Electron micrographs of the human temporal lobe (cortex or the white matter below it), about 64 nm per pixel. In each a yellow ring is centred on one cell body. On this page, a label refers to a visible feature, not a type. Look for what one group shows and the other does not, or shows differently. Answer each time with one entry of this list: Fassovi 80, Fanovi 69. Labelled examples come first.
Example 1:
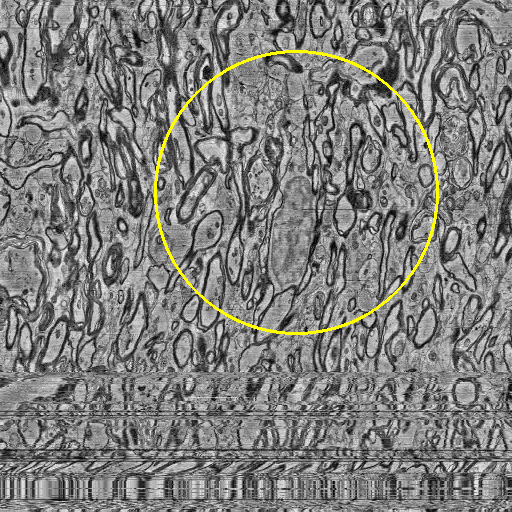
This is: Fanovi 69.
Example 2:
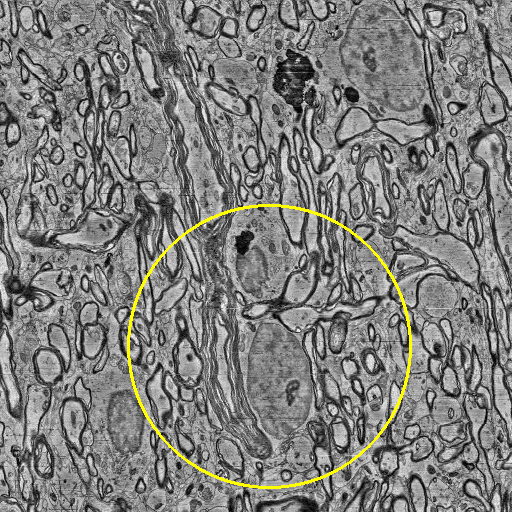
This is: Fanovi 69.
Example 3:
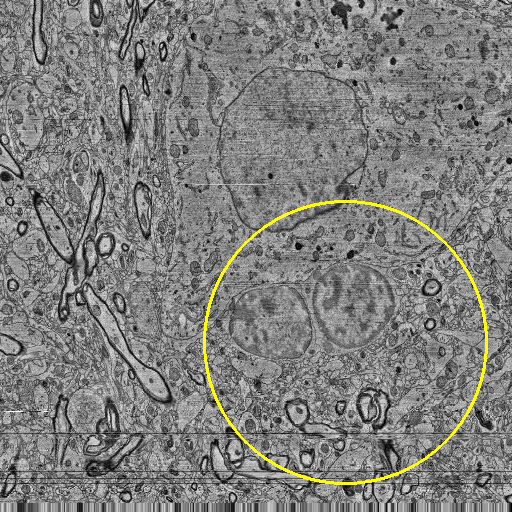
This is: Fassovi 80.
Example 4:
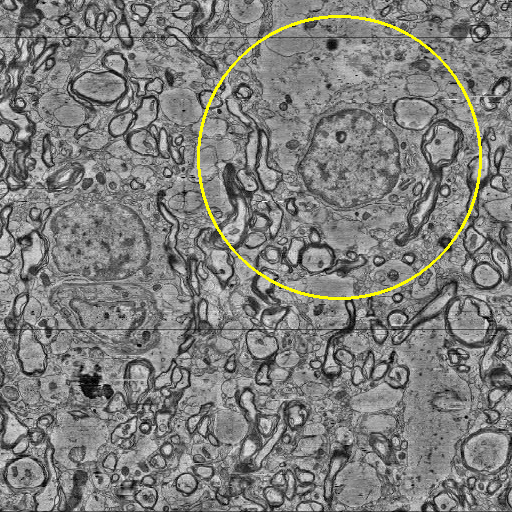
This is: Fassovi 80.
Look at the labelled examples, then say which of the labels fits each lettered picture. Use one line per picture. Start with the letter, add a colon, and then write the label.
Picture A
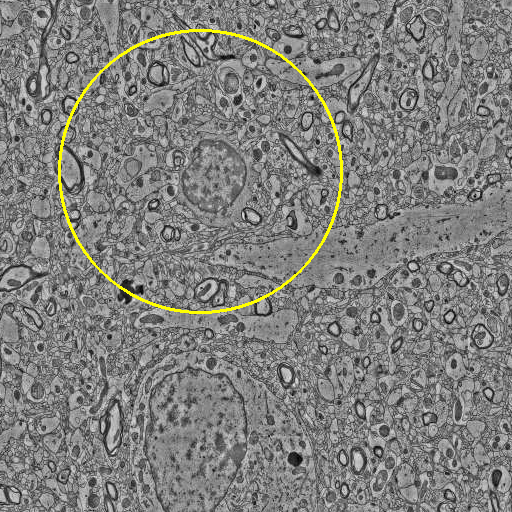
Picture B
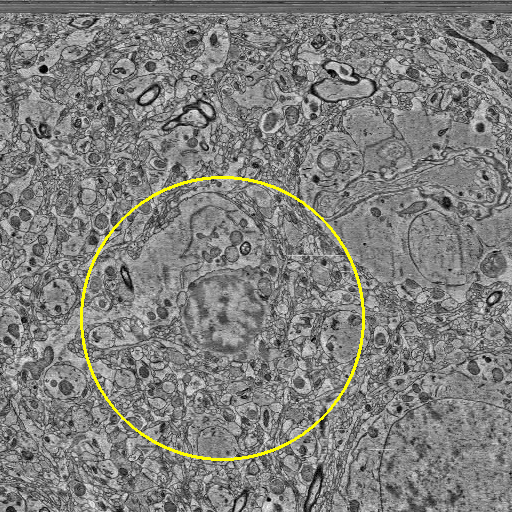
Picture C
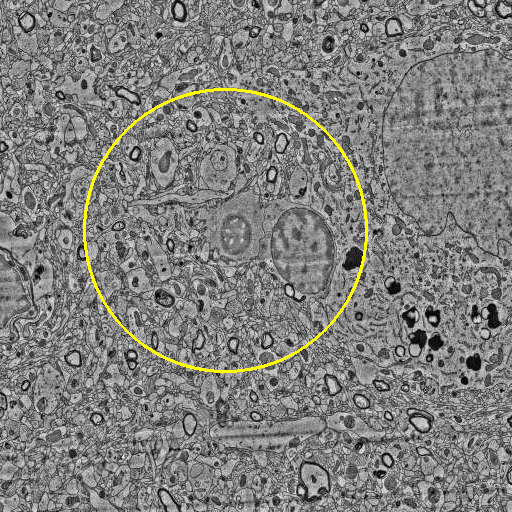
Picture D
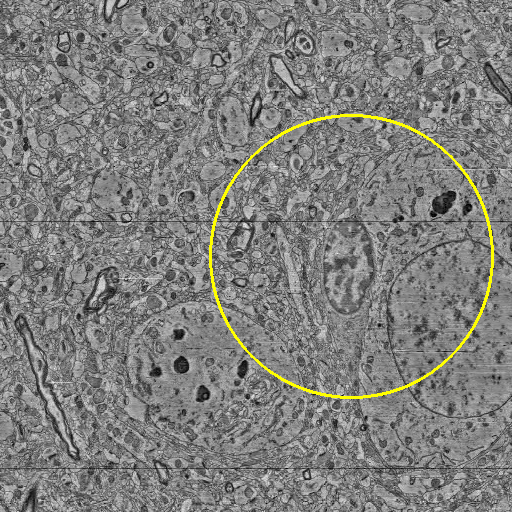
A: Fassovi 80.
B: Fassovi 80.
C: Fassovi 80.
D: Fanovi 69.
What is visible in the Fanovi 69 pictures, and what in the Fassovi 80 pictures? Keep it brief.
Seen in Fanovi 69: clearly elongated nuclei; seen in Fassovi 80: round or nearly round nuclei.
